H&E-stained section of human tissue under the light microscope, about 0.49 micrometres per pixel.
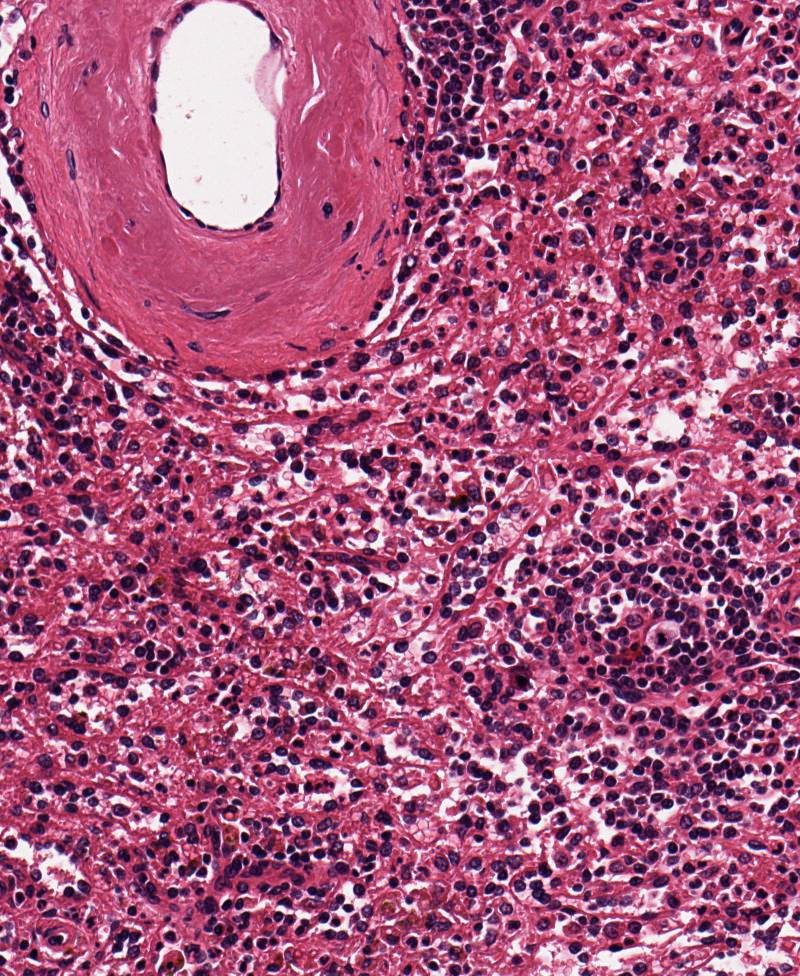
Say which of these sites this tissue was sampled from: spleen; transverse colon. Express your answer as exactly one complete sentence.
Tissue for this slide was taken from the spleen.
